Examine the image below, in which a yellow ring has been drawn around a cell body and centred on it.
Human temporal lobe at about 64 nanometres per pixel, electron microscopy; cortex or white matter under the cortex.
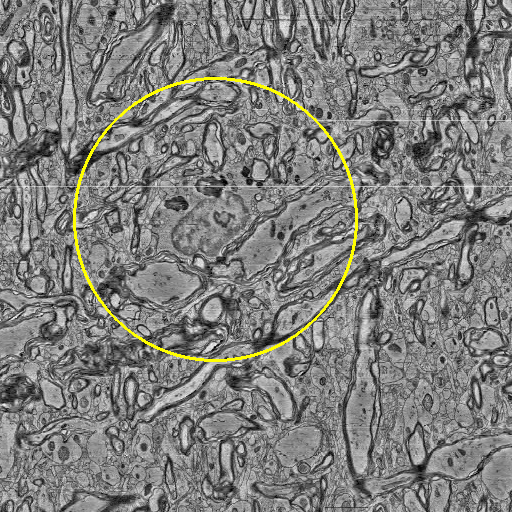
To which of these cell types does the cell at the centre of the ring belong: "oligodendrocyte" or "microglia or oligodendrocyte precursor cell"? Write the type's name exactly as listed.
oligodendrocyte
